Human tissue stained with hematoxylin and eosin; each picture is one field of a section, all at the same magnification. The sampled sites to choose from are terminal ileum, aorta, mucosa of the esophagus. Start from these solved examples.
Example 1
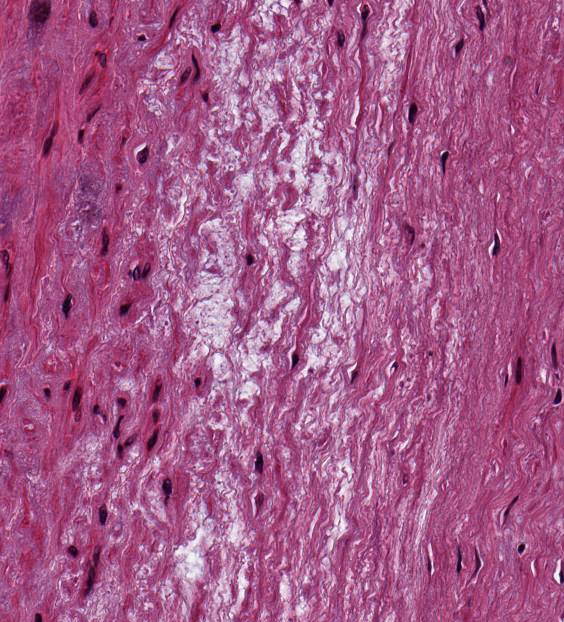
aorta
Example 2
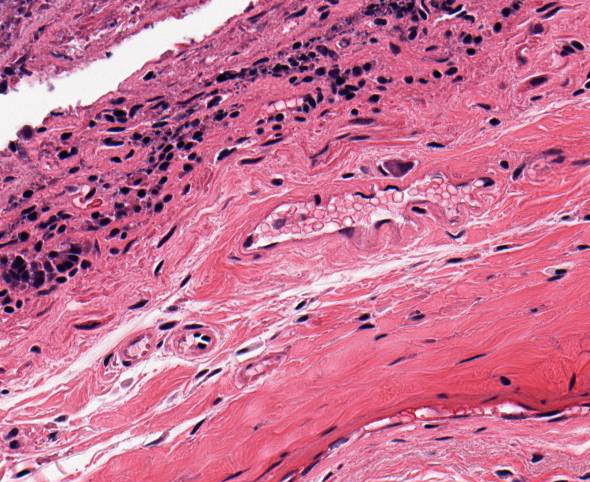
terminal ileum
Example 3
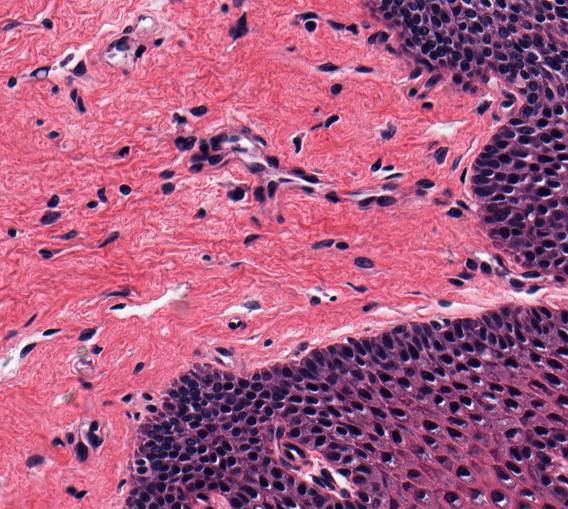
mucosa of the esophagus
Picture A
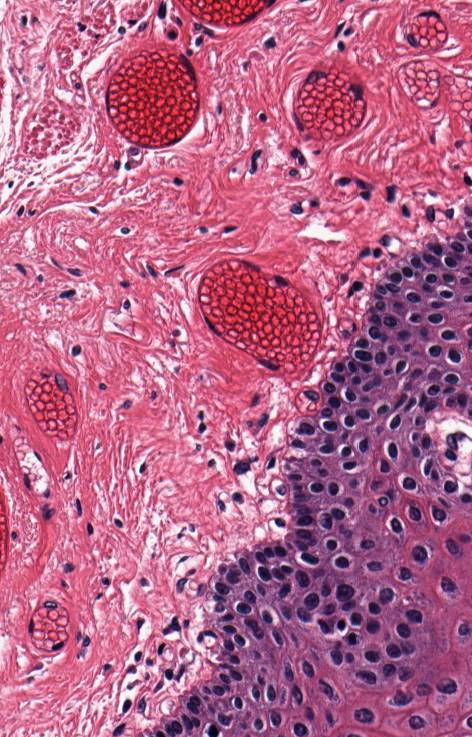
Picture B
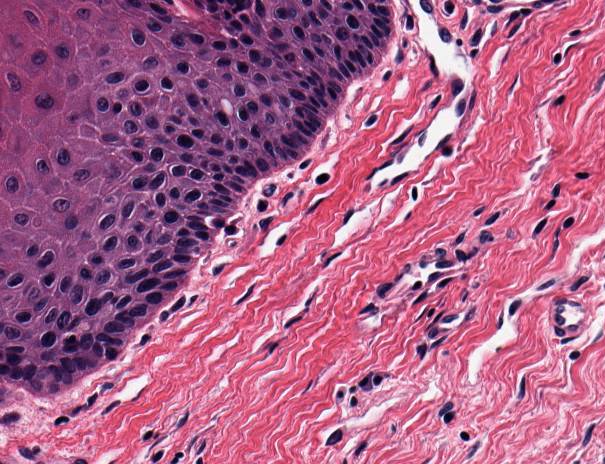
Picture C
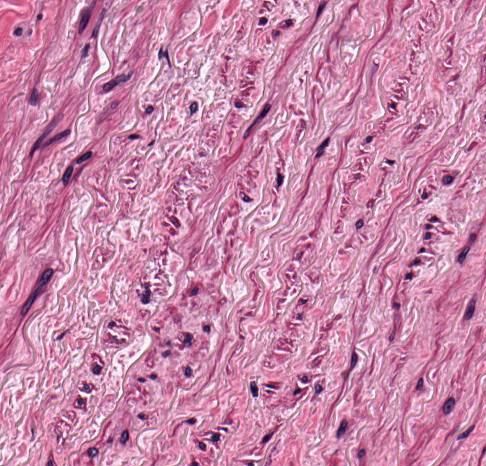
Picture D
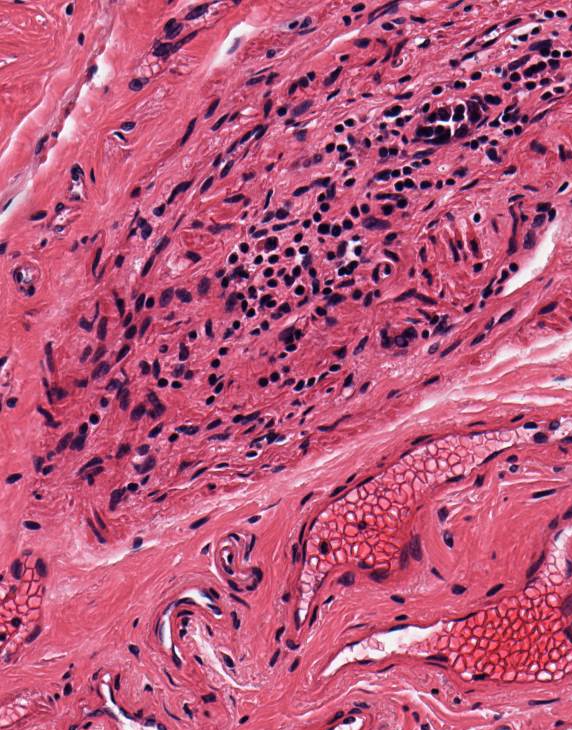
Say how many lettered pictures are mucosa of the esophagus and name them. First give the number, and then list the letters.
2: A, B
